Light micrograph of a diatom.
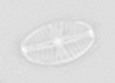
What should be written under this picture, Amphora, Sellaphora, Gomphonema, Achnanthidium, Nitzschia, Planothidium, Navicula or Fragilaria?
Sellaphora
